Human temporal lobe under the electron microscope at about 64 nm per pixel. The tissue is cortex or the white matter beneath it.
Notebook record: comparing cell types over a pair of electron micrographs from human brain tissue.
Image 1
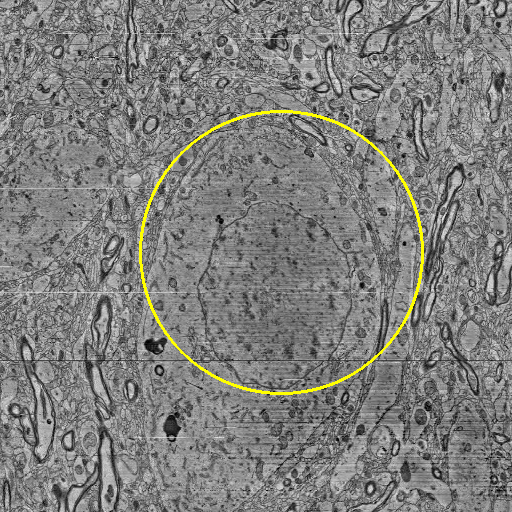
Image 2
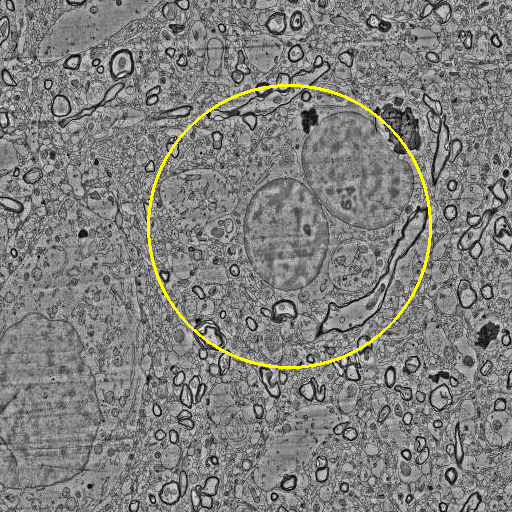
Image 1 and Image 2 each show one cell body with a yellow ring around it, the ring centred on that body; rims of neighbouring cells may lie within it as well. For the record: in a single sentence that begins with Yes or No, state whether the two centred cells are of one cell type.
No, two cell types are found among the centred cells of Image 1 and Image 2.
